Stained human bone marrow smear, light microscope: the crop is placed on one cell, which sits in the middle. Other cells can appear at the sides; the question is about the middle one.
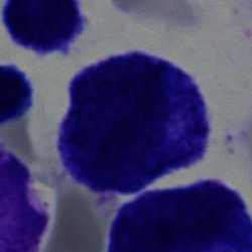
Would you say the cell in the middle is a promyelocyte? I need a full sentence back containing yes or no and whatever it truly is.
Yes, this is a promyelocyte, the cell in the middle of the crop.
